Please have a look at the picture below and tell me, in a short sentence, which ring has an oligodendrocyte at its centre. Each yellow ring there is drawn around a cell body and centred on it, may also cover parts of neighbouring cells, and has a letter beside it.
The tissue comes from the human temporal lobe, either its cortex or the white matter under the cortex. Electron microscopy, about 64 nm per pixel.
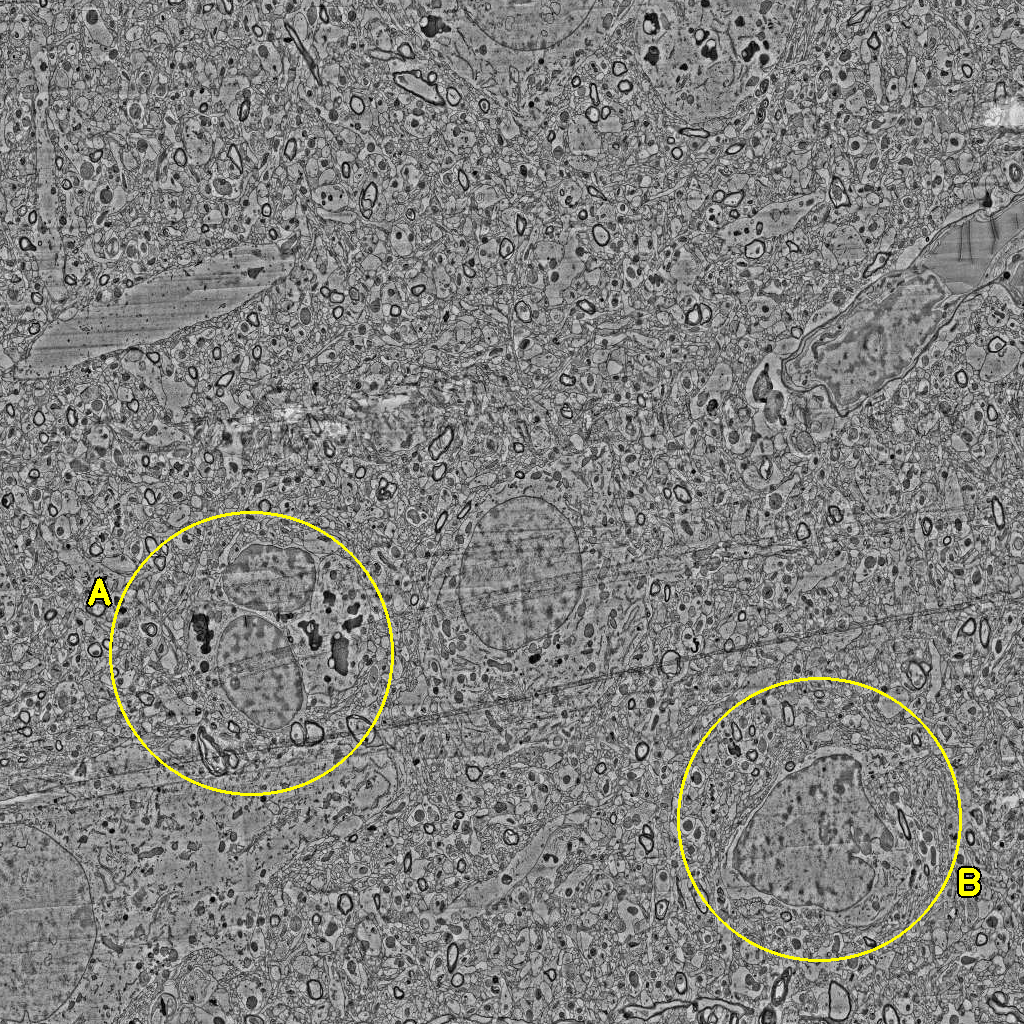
Ring A is centred on it.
